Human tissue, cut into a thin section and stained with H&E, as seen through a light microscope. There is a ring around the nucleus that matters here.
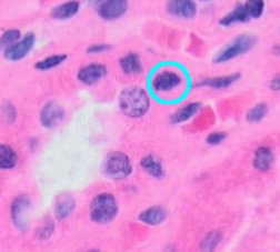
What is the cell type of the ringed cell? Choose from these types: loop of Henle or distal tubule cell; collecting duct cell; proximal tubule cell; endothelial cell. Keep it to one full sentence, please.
The expected answer is simply that the ringed cell is a loop of Henle or distal tubule cell.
